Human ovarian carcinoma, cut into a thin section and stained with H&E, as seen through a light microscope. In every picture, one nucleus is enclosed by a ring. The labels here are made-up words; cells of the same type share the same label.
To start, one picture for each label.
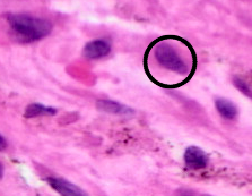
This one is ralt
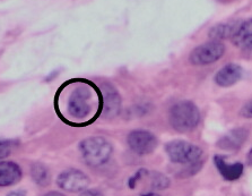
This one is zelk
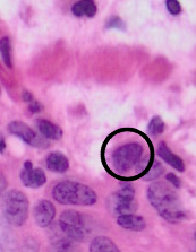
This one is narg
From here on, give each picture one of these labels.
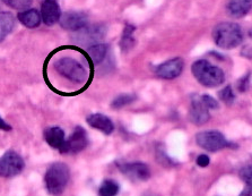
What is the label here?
narg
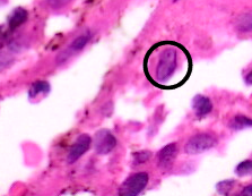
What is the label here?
zelk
